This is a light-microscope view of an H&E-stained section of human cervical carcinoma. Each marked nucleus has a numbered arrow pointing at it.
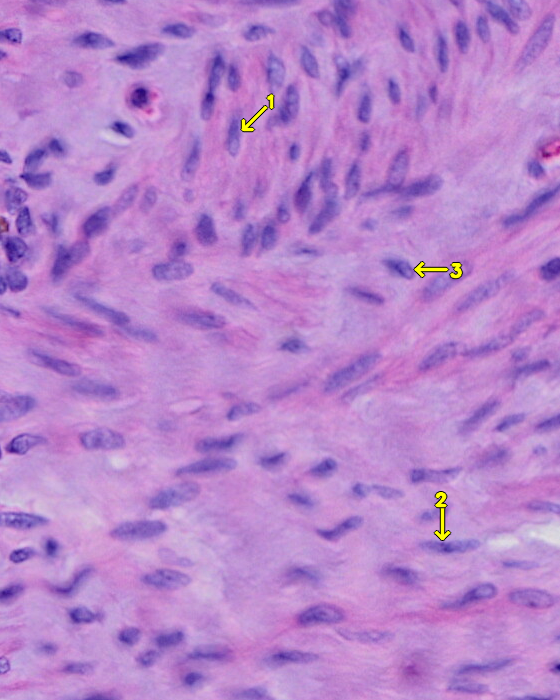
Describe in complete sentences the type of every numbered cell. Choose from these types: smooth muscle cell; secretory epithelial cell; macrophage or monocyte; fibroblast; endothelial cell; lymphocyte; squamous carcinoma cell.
Cell 1 is a smooth muscle cell. Cells 2 and 3 are fibroblasts.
